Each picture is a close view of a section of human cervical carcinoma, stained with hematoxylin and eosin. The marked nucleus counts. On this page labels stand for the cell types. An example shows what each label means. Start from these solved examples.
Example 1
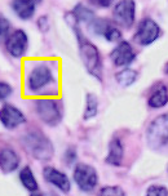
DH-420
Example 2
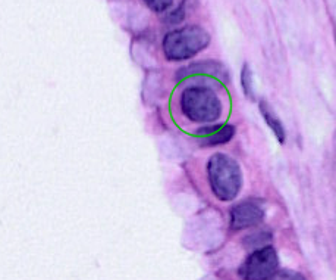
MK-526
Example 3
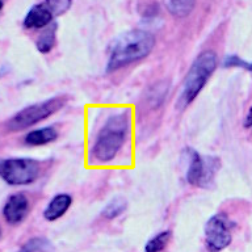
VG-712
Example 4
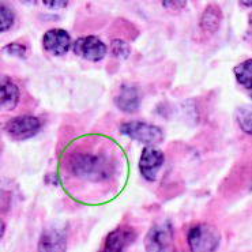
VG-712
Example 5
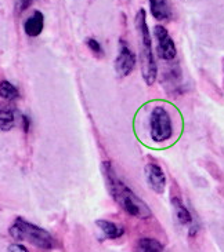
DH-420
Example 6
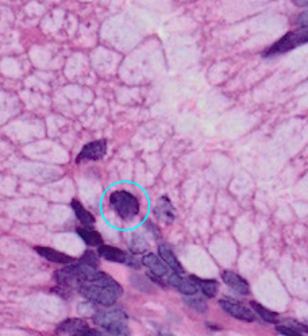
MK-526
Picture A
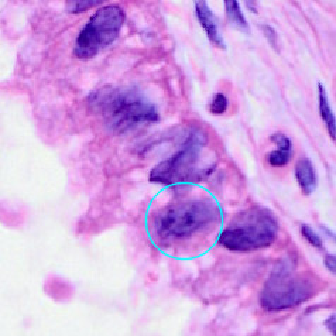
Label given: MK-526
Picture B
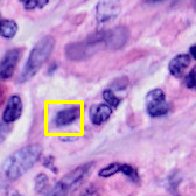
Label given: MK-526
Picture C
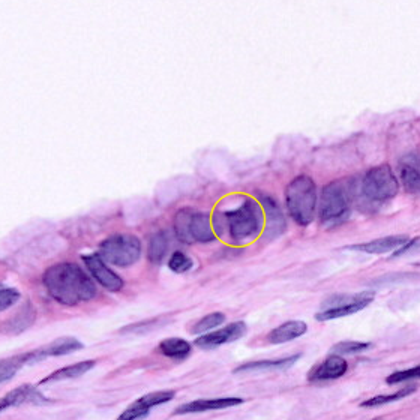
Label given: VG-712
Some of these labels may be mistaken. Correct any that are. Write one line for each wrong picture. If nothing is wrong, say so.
B: change MK-526 to DH-420
C: change VG-712 to MK-526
